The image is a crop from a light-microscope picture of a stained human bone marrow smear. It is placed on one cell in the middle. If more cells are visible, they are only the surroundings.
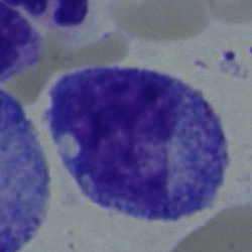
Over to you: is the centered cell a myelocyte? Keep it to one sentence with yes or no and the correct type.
Yes, the central cell here is a myelocyte.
